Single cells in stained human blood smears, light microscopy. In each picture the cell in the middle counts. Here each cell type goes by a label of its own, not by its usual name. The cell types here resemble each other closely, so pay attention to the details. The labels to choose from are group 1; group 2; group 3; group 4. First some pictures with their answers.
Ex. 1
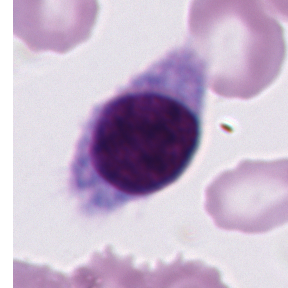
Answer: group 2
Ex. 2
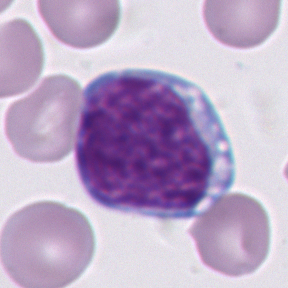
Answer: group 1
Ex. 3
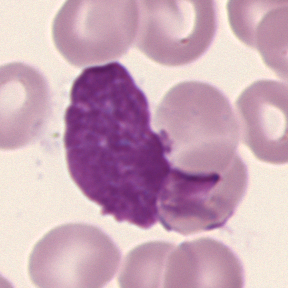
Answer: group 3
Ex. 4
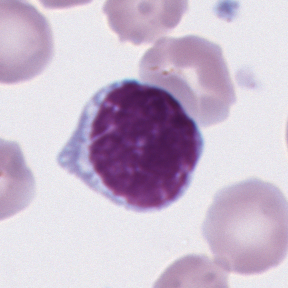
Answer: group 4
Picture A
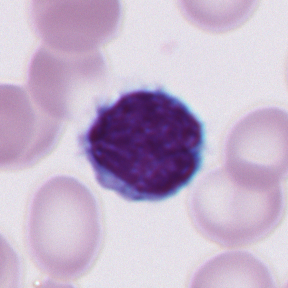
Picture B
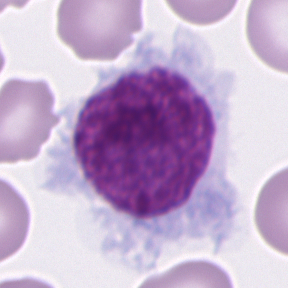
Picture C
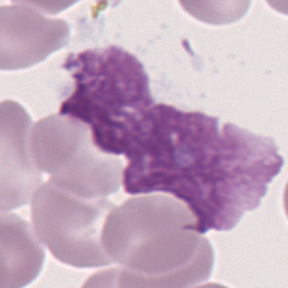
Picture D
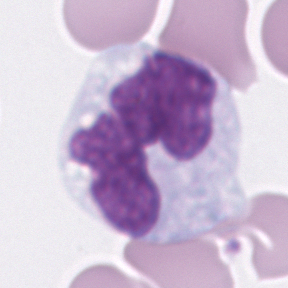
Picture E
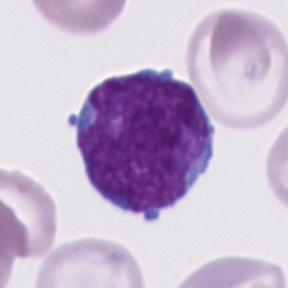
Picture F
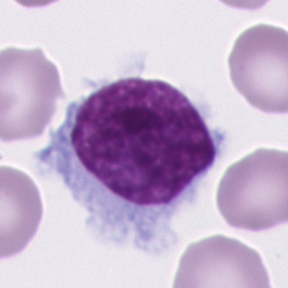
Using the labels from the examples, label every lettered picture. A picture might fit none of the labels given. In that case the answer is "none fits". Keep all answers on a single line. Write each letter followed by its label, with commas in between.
A group 4, B group 2, C group 3, D none fits, E group 1, F group 2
